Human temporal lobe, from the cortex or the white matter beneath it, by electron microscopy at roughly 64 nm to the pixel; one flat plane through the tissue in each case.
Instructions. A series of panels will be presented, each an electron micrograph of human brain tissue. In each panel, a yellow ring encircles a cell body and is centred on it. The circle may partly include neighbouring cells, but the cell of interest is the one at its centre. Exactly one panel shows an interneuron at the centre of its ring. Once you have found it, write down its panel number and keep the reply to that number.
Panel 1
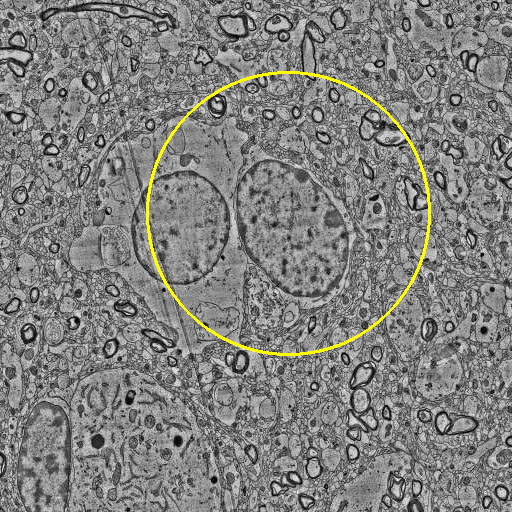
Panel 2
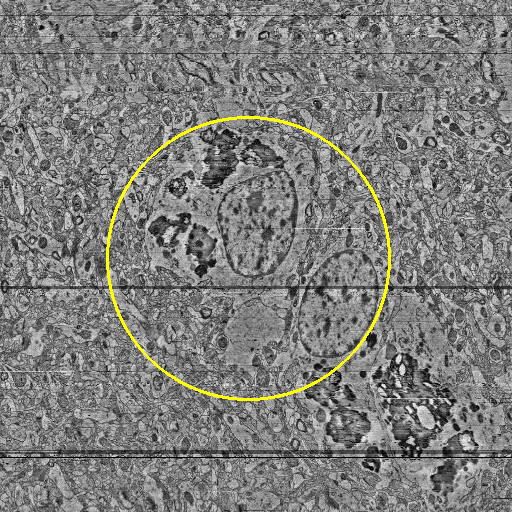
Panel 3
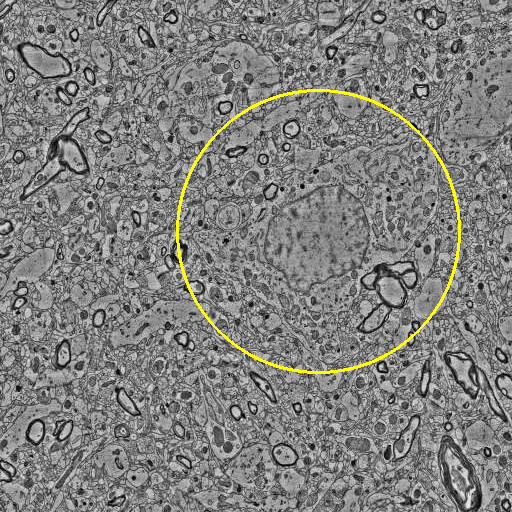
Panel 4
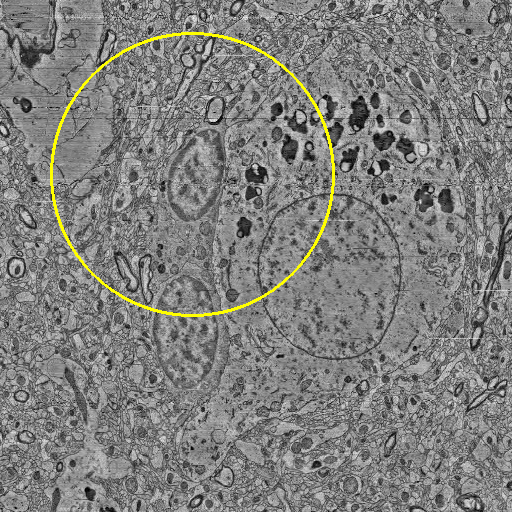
3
